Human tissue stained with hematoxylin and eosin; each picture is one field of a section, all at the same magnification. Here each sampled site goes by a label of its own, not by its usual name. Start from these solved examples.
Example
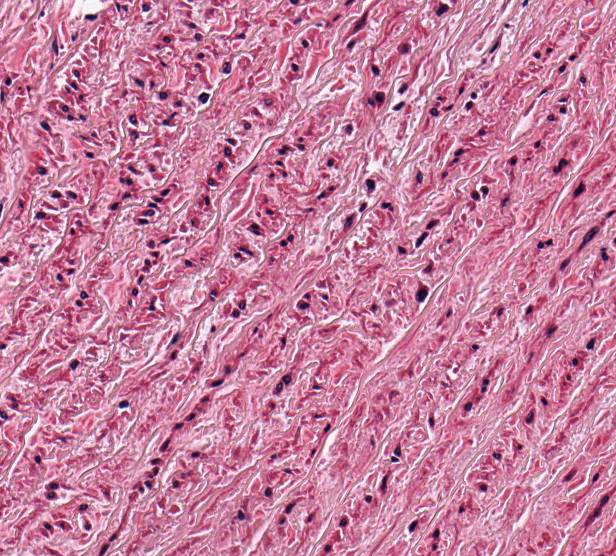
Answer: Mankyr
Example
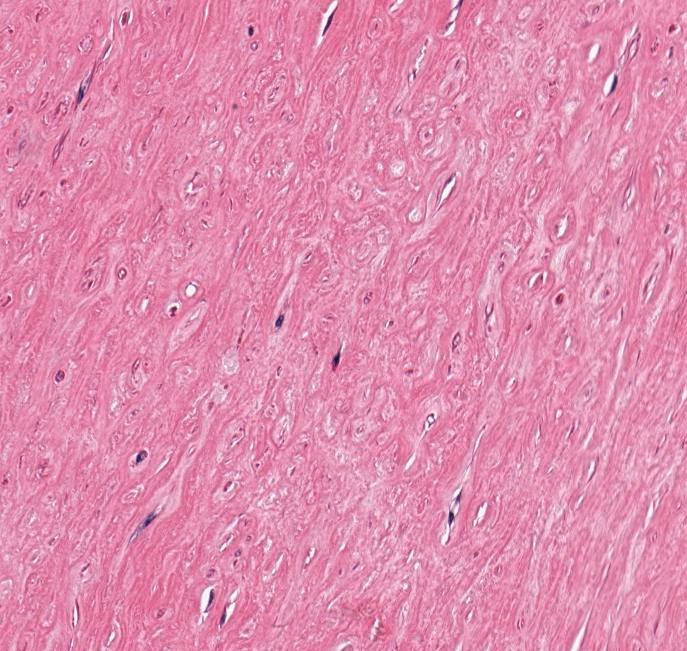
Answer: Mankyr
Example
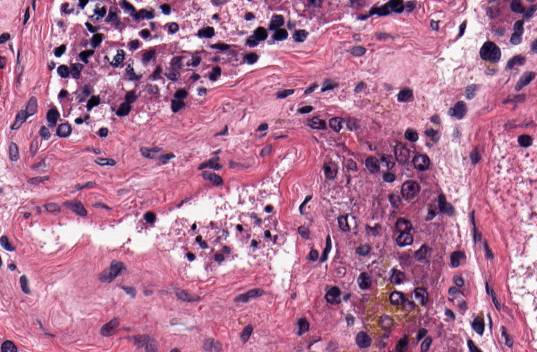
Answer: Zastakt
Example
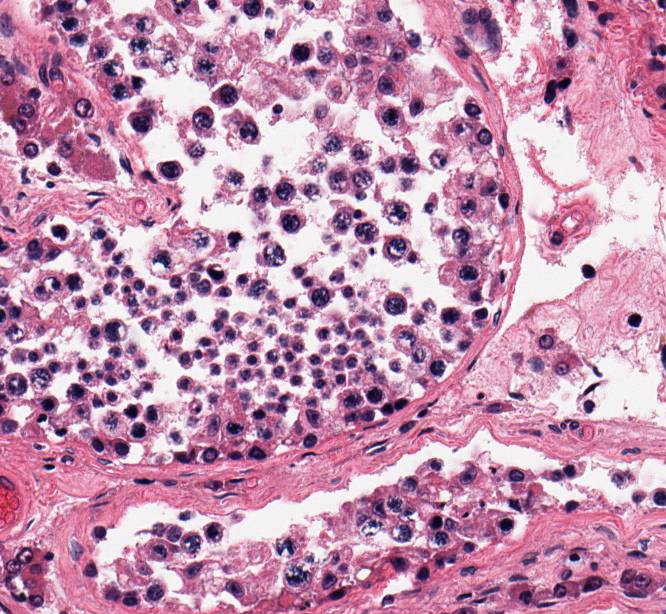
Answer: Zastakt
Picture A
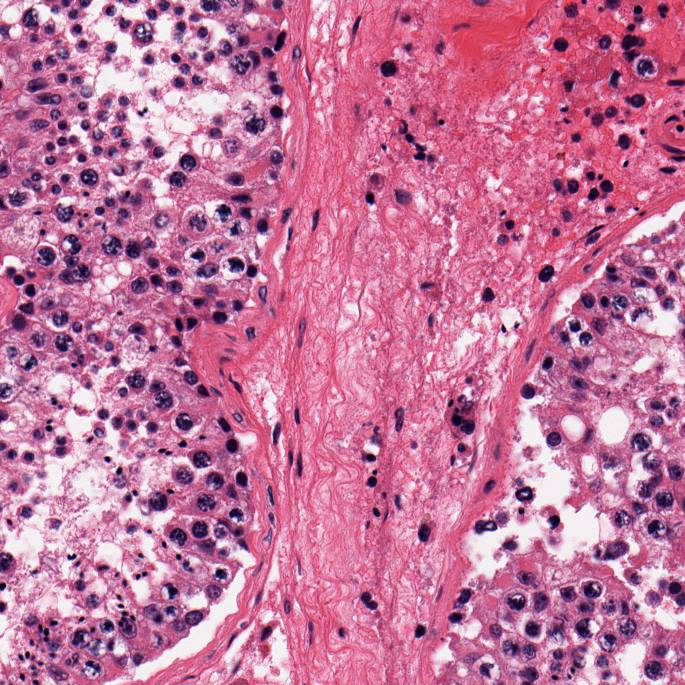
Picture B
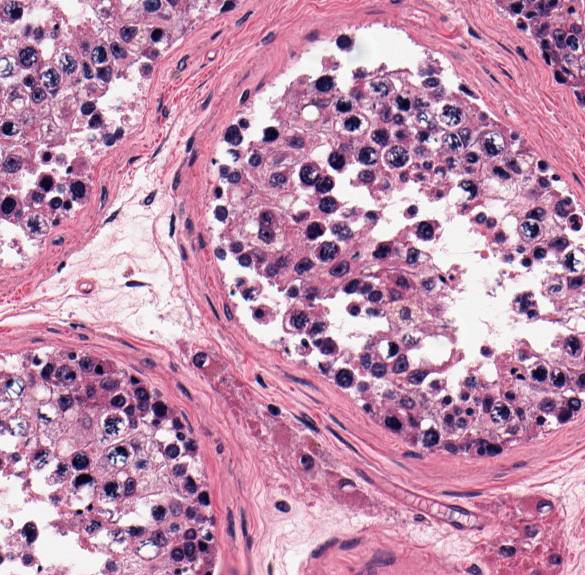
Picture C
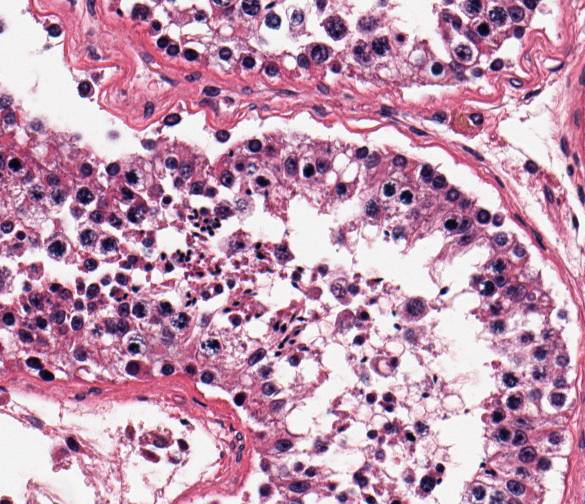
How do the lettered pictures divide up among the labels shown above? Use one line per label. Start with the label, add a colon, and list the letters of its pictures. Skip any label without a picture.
Zastakt: A, B, C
